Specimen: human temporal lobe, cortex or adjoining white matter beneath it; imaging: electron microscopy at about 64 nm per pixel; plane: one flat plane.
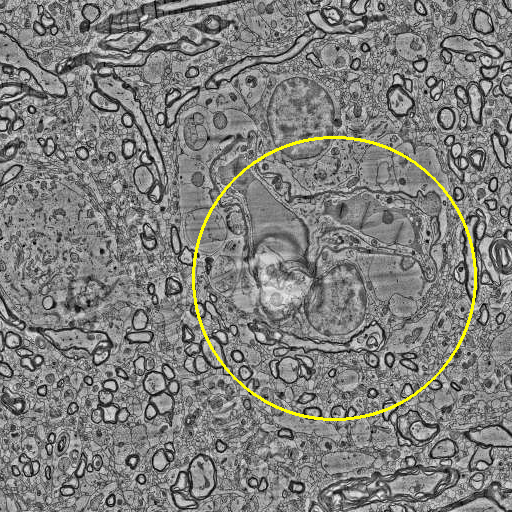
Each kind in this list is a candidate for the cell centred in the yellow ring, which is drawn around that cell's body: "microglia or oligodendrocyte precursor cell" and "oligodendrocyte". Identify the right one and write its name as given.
microglia or oligodendrocyte precursor cell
